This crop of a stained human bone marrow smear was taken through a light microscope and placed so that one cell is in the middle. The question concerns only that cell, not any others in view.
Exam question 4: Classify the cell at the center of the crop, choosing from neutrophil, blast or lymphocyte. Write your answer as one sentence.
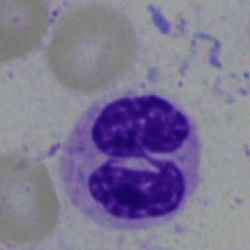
The centrally located cell in the crop is a neutrophil.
